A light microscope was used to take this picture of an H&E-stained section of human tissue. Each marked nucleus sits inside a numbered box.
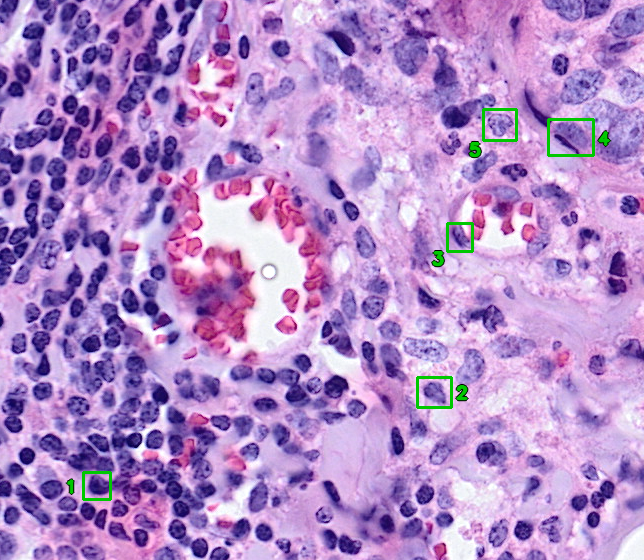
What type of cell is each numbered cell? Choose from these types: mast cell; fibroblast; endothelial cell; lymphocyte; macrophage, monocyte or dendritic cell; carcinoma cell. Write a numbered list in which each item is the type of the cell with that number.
1. lymphocyte
2. lymphocyte
3. endothelial cell
4. carcinoma cell
5. macrophage, monocyte or dendritic cell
